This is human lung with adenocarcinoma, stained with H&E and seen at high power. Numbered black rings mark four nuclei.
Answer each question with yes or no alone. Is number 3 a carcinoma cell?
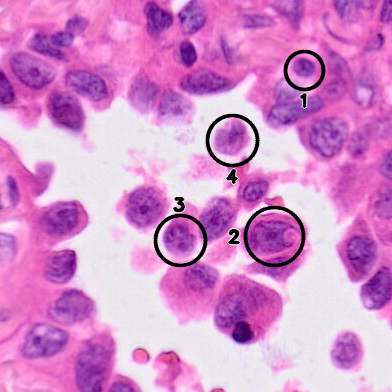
yes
